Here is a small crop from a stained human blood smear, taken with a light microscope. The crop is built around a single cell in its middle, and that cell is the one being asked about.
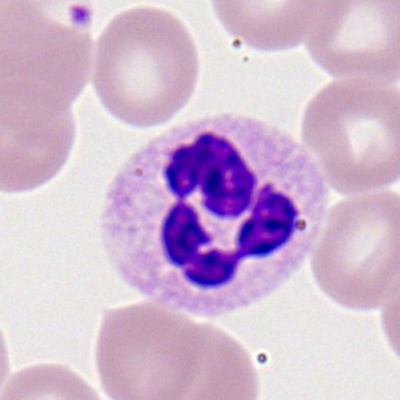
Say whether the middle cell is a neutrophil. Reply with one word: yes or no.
yes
